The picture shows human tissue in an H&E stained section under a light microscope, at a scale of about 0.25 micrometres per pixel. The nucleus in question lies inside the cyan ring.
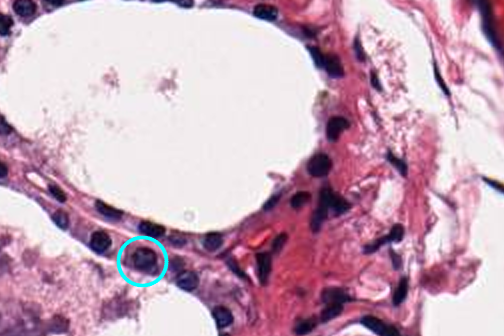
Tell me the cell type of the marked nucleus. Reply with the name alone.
thyroid follicular cell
